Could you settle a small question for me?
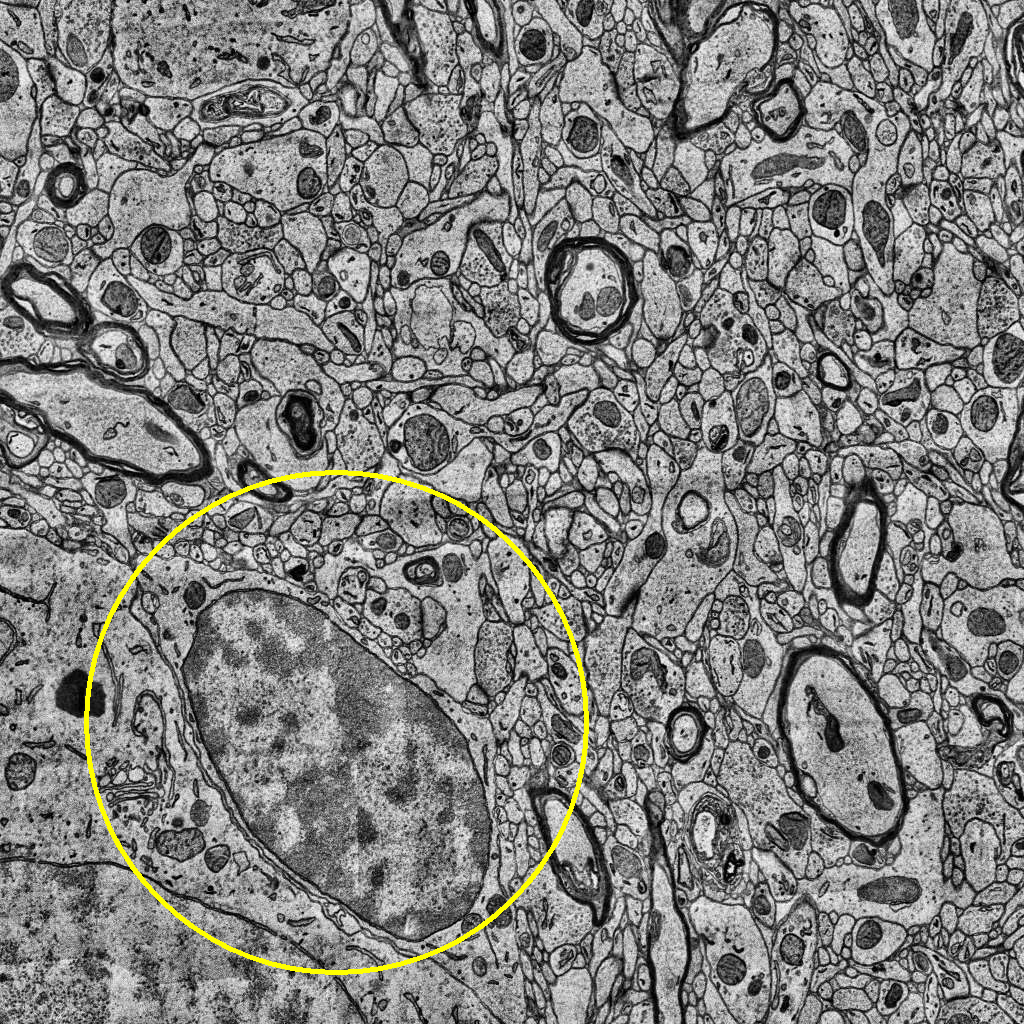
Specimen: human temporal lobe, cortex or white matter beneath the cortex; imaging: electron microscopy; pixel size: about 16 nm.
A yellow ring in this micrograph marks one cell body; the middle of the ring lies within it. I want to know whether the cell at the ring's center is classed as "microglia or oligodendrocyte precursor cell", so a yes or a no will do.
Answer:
yes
